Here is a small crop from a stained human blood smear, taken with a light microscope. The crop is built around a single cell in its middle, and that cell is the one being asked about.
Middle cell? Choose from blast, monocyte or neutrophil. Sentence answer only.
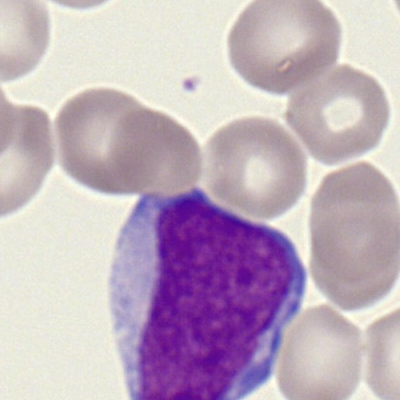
The cell positioned in the middle of the field is a blast.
